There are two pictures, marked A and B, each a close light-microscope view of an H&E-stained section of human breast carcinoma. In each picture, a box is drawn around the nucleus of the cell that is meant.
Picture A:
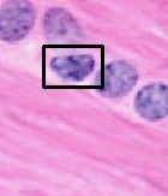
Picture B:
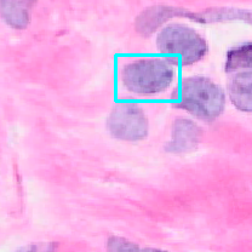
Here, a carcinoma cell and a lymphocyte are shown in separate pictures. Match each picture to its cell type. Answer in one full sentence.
In picture A the cell is a lymphocyte; in picture B, a carcinoma cell.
